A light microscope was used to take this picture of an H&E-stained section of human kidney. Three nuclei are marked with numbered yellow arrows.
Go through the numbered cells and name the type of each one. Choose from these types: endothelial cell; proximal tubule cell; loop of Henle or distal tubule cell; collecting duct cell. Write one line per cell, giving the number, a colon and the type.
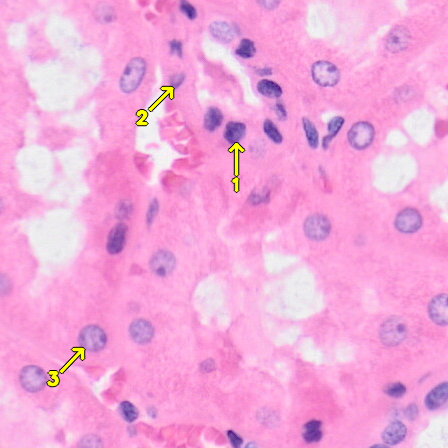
1: collecting duct cell
2: collecting duct cell
3: proximal tubule cell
